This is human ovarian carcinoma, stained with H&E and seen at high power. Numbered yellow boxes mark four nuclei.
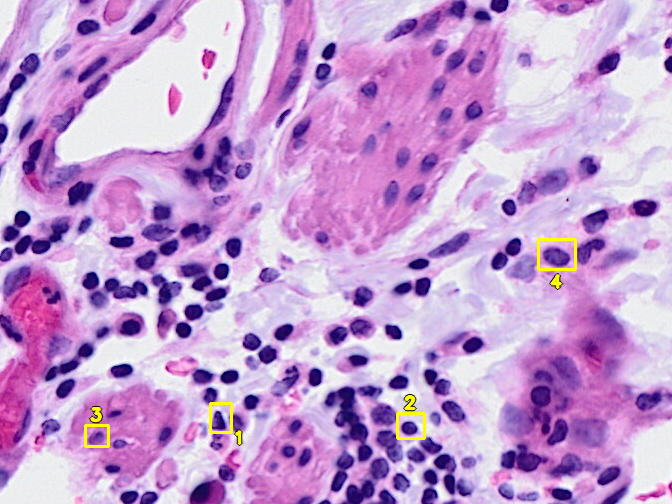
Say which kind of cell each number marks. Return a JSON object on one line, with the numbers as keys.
{"1": "lymphocyte", "2": "lymphocyte", "3": "smooth muscle cell", "4": "lymphocyte"}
